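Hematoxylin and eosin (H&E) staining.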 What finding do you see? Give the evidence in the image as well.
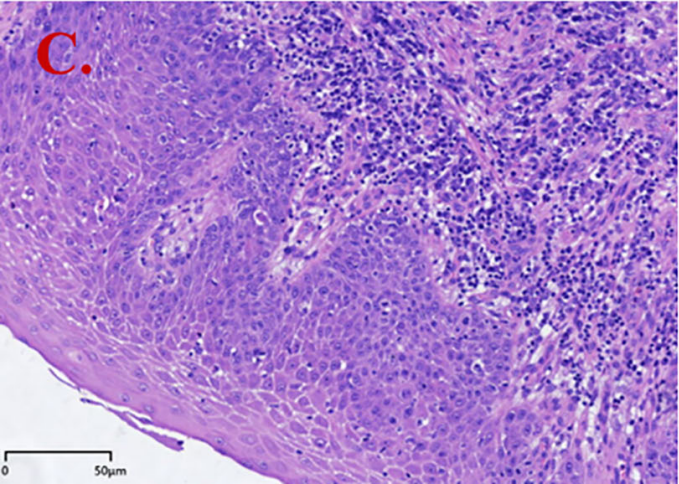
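Many small round dark-blue nuclei crowd the stroma beneath the epithelium. The infiltrate lies right against the base of the epithelial ridges. The answer: dense lymphocytic infiltration.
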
